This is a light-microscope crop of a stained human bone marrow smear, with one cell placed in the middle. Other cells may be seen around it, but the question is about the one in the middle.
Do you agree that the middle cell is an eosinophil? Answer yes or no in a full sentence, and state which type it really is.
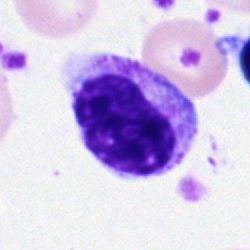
No, the middle of this crop is occupied by a metamyelocyte rather than an eosinophil.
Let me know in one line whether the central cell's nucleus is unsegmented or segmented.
The nucleus amounts to one compact mass with a round, oval or kidney-shaped outline.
